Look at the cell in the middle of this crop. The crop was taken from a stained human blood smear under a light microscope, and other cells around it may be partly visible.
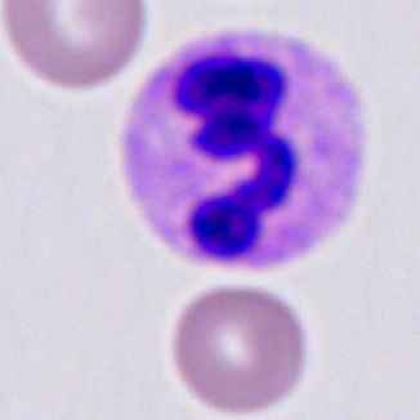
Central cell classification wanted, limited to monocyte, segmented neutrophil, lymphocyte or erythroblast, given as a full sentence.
The cell found in the middle of this crop is a segmented neutrophil.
